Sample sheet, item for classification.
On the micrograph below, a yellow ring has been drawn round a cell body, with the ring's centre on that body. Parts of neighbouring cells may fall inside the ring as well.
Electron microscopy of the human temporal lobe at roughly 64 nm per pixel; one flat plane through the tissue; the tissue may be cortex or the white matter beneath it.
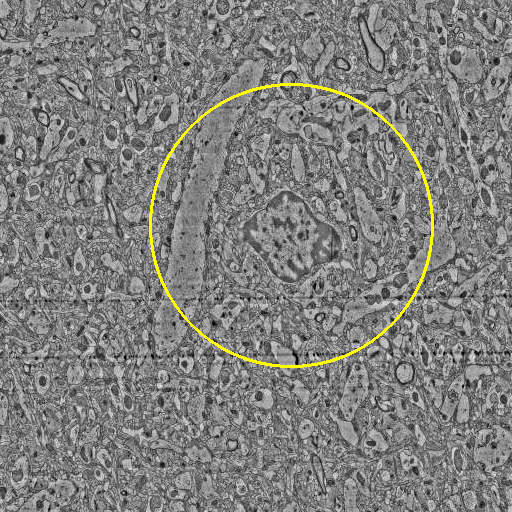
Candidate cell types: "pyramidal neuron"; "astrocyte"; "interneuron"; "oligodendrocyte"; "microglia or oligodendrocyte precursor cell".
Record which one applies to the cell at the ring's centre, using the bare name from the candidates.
microglia or oligodendrocyte precursor cell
